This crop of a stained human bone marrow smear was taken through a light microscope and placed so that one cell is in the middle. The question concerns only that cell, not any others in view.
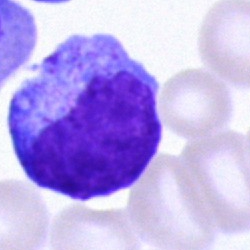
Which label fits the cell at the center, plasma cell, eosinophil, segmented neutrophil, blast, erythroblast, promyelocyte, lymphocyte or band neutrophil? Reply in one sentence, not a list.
In the middle of this smear crop, the cell is a promyelocyte.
